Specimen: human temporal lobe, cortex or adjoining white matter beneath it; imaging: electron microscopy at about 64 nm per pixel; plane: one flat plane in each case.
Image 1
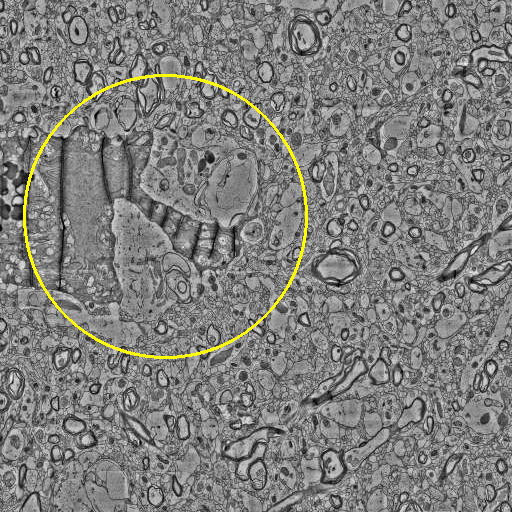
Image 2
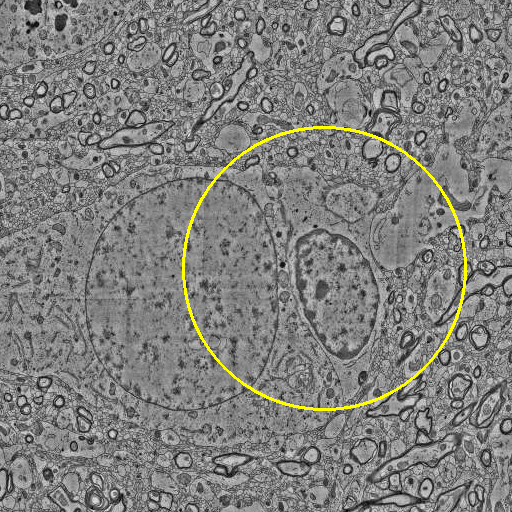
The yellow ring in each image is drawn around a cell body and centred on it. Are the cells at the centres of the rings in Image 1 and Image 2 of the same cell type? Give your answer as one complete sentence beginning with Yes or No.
Yes, both cells are of the same type.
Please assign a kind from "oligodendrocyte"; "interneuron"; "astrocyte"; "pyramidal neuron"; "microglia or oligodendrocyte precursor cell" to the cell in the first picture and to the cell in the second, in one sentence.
The ring centre holds a microglial cell or oligodendrocyte precursor cell in each of the two pictures.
